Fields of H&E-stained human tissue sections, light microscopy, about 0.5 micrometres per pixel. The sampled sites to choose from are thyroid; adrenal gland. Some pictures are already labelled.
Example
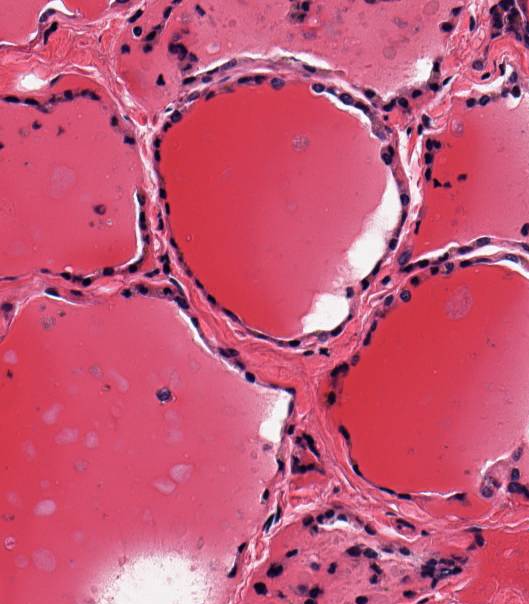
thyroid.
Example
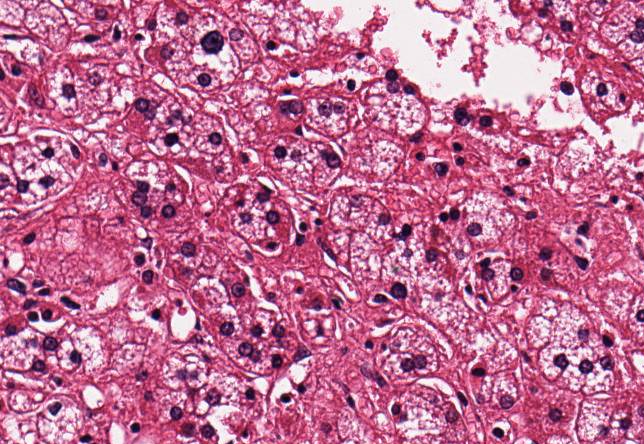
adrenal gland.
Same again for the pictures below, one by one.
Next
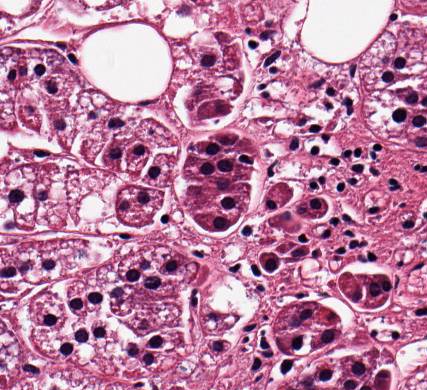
adrenal gland.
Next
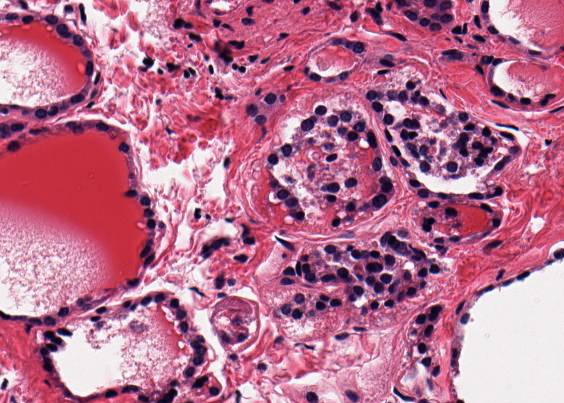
thyroid.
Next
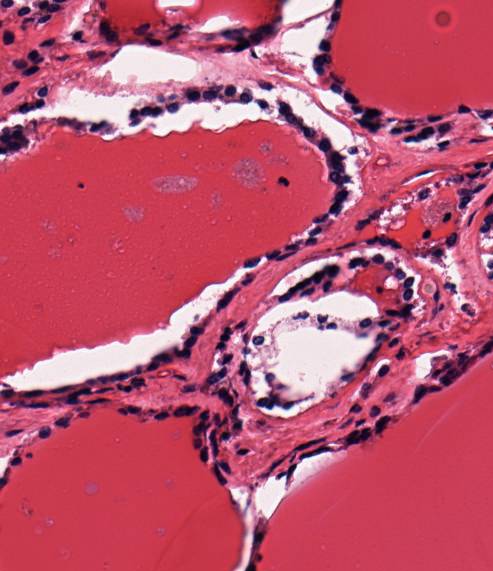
thyroid.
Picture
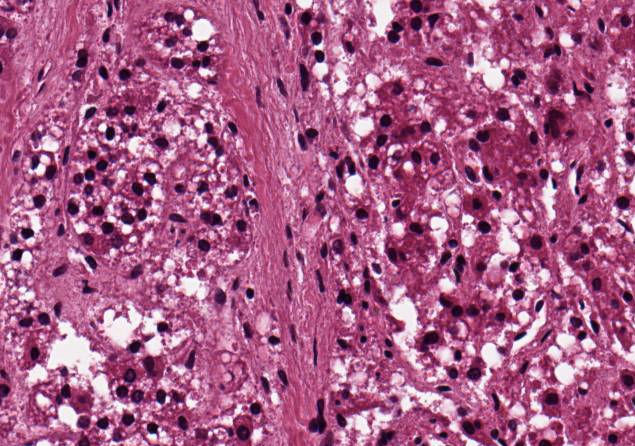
adrenal gland.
